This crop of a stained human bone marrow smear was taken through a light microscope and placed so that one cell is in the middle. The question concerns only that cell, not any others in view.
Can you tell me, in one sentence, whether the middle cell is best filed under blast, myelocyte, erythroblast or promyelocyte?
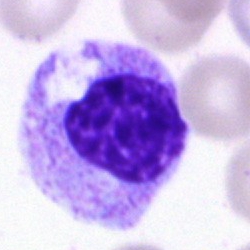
In the crop, the cell of interest at the centre is a myelocyte.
